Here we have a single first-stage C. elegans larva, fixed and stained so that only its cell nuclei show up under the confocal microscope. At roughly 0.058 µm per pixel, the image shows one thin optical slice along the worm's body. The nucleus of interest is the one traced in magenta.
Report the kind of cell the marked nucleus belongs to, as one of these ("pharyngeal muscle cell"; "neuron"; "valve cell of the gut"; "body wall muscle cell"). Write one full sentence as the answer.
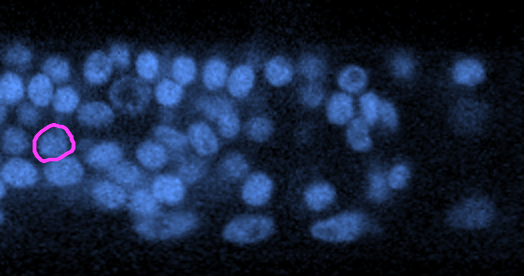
The marked nucleus belongs to a neuron.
